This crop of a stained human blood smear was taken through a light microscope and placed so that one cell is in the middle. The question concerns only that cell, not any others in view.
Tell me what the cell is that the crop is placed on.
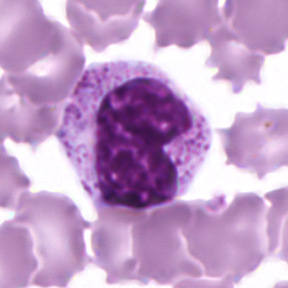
metamyelocyte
